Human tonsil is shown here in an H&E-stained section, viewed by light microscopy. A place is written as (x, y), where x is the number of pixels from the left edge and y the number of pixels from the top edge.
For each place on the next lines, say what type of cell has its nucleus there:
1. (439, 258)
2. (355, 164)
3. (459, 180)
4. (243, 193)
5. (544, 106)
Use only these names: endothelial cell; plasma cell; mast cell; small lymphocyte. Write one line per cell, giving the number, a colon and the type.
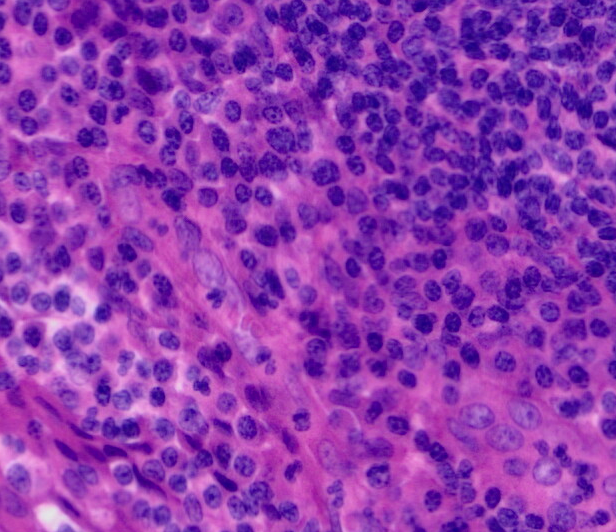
1: plasma cell
2: plasma cell
3: small lymphocyte
4: plasma cell
5: small lymphocyte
